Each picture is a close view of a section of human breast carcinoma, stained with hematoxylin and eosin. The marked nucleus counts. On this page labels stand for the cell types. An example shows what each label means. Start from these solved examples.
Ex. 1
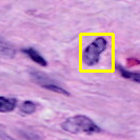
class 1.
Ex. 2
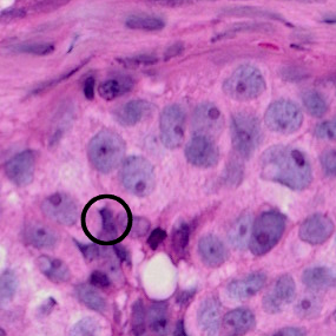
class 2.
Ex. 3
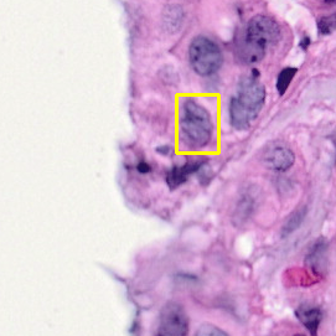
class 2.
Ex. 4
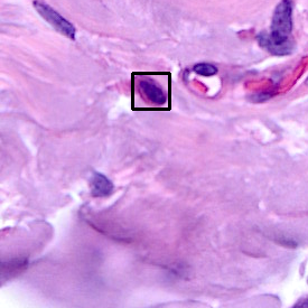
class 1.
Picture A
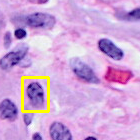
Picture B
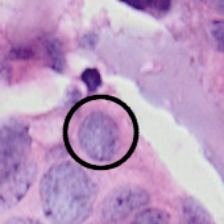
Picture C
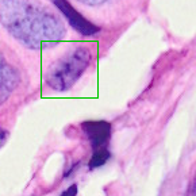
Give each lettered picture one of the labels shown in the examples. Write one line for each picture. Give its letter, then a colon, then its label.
A: class 1.
B: class 2.
C: class 2.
